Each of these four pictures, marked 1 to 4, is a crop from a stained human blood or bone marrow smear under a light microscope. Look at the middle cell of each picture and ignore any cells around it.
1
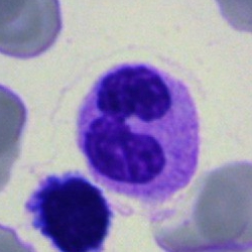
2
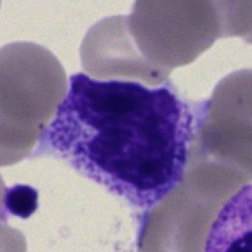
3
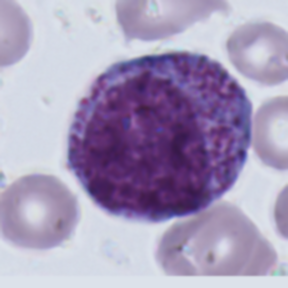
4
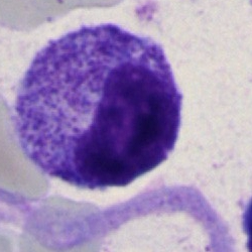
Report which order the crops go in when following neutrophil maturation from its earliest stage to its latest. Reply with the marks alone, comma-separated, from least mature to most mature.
3, 4, 2, 1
